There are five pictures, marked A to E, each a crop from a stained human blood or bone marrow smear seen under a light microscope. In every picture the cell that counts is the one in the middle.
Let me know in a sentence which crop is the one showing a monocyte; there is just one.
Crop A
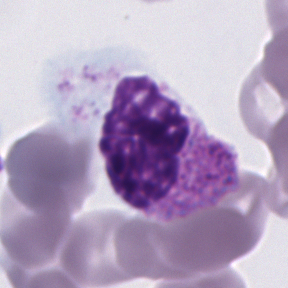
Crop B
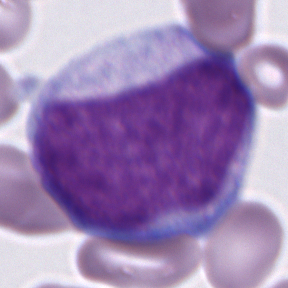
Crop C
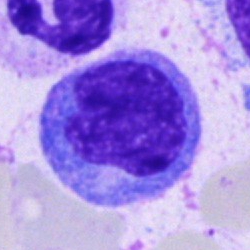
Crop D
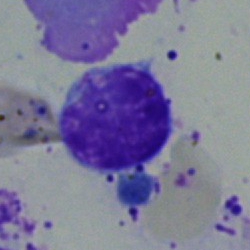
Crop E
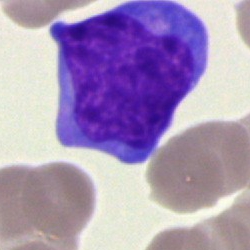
The cell at the center of crop C is the one that is a monocyte.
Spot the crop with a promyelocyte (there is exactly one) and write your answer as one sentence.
Crop B is the one to choose: it shows a promyelocyte.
